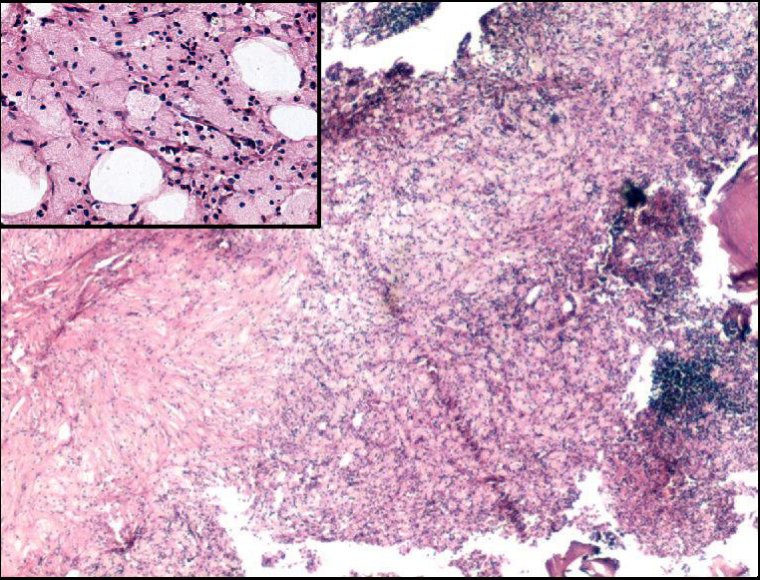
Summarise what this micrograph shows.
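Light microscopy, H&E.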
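This is a diffuse sheet of foamy macrophages, pale pink at low power, with dense dark blue nodular clusters of lymphocytes at the right. In the inset, the macrophages have distinct cell borders, abundant pale granular cytoplasm and small, dark, shrunken nuclei. Round clear spaces lie scattered among them.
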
